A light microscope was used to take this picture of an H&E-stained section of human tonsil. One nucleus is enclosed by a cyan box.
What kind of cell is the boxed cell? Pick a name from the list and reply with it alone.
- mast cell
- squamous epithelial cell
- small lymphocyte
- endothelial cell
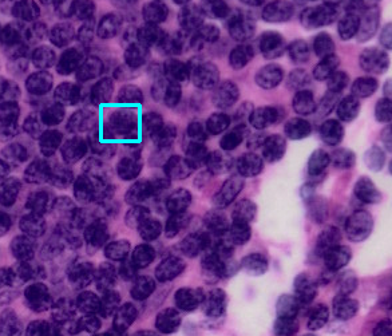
small lymphocyte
